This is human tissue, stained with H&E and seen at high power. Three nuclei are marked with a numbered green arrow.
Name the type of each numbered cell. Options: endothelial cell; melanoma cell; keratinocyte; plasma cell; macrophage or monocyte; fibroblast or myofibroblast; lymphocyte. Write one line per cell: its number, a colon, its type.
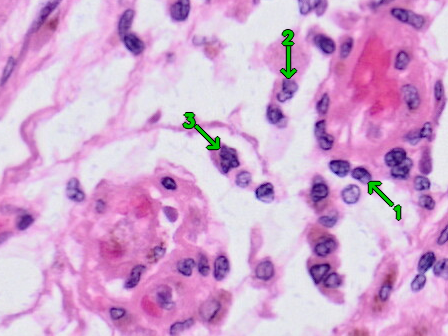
1: lymphocyte
2: macrophage or monocyte
3: macrophage or monocyte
